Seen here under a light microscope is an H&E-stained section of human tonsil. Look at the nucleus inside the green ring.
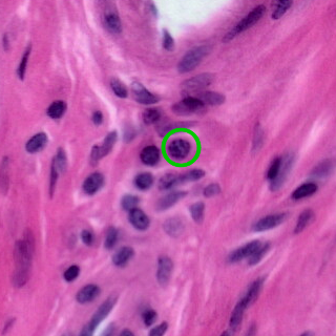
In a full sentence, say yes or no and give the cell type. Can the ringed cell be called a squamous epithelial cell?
No, the ringed cell is correctly named a plasma cell; it is not a squamous epithelial cell.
